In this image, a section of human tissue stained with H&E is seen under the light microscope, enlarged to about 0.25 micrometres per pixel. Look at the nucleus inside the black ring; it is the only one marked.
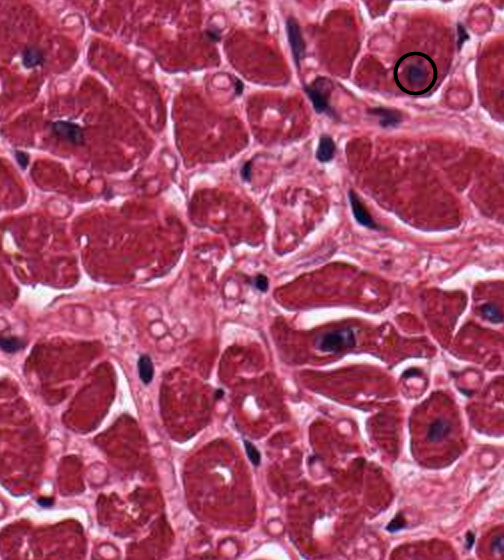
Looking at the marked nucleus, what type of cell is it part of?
cardiomyocyte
